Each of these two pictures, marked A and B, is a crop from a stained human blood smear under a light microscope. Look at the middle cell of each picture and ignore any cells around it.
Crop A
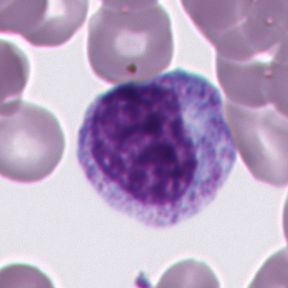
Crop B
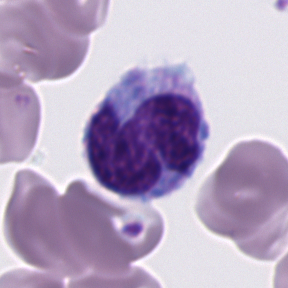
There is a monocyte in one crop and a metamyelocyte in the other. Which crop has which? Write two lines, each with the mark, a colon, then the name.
A: metamyelocyte
B: monocyte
